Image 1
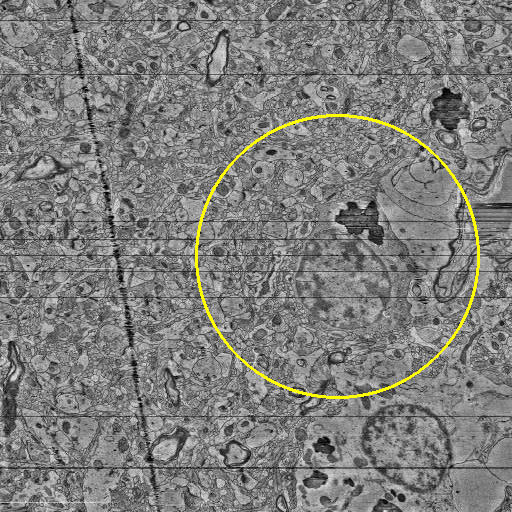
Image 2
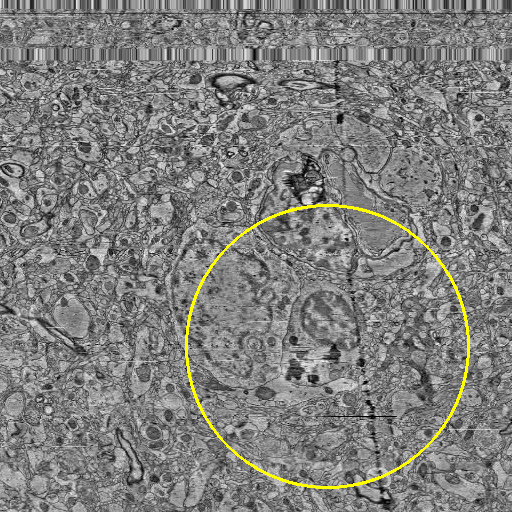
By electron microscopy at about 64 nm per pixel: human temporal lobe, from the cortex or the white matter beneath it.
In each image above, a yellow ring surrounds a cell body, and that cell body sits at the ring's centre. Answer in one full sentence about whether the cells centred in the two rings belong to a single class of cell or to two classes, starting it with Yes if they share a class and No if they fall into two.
Yes, the cells centred in the two yellow rings belong to a single class of cell.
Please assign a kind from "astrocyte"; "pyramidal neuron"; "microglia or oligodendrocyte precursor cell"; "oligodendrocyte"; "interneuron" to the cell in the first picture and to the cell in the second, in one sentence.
Each cell at the centre of a ring is an oligodendrocyte.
